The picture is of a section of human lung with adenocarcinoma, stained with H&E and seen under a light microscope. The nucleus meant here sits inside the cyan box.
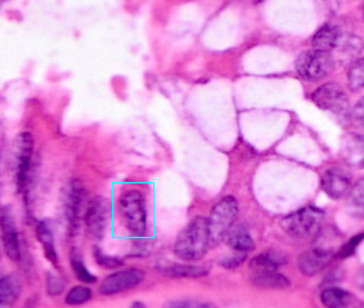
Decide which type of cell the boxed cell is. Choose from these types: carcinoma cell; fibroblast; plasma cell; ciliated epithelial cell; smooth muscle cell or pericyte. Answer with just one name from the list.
ciliated epithelial cell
